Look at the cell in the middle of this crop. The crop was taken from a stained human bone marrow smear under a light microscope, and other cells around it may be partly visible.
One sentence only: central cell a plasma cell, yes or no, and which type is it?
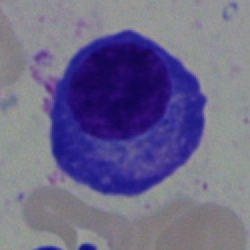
Yes, the cell in the exact middle is a plasma cell.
